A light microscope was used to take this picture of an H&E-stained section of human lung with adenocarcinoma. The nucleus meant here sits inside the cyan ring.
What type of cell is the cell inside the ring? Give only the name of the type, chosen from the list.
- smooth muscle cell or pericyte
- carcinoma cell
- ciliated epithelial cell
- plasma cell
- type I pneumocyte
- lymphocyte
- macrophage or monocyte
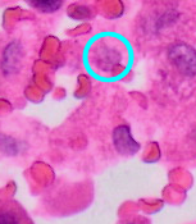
macrophage or monocyte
